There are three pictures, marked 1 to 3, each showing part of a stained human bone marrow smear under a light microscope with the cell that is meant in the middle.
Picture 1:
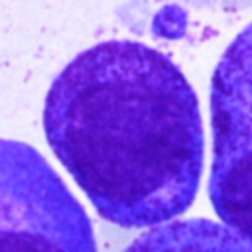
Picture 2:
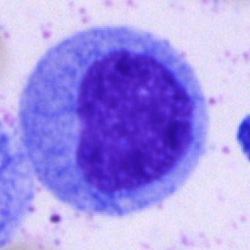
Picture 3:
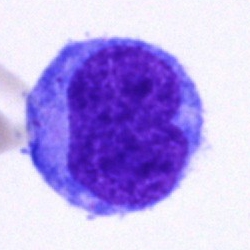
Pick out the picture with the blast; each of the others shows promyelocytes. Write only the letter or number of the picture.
3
